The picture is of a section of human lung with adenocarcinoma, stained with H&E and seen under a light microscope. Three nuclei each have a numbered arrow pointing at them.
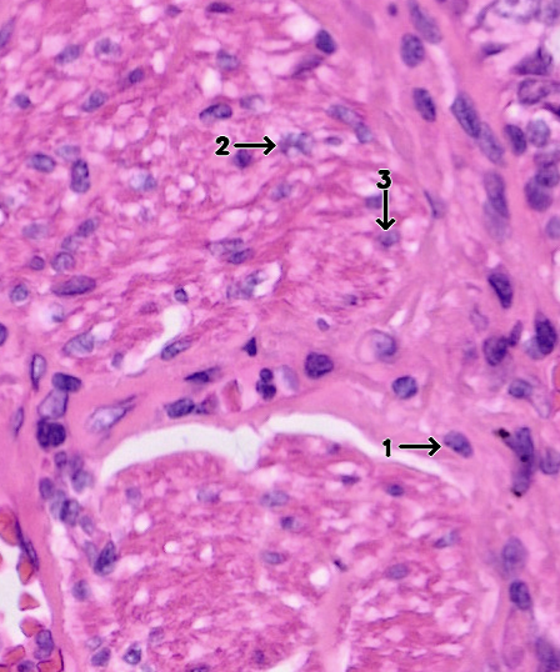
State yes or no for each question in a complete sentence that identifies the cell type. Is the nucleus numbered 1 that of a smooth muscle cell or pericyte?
No, cell 1 is identified not as a smooth muscle cell or pericyte but as a mast cell.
